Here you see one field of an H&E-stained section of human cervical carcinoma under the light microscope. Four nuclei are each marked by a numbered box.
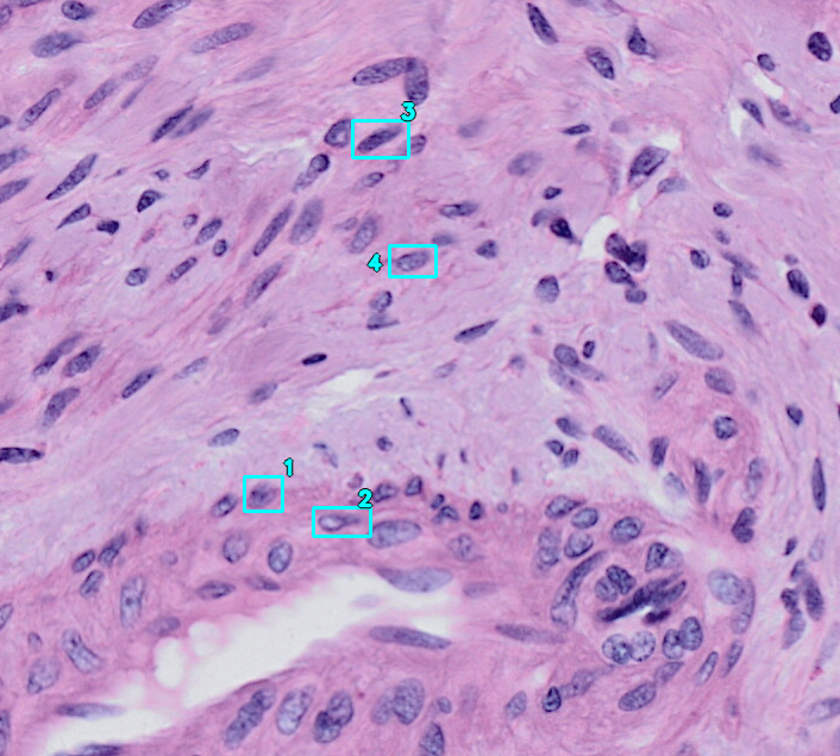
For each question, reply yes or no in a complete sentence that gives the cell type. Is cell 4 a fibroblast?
No, cell 4 does not represent a fibroblast; it represents a smooth muscle cell.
